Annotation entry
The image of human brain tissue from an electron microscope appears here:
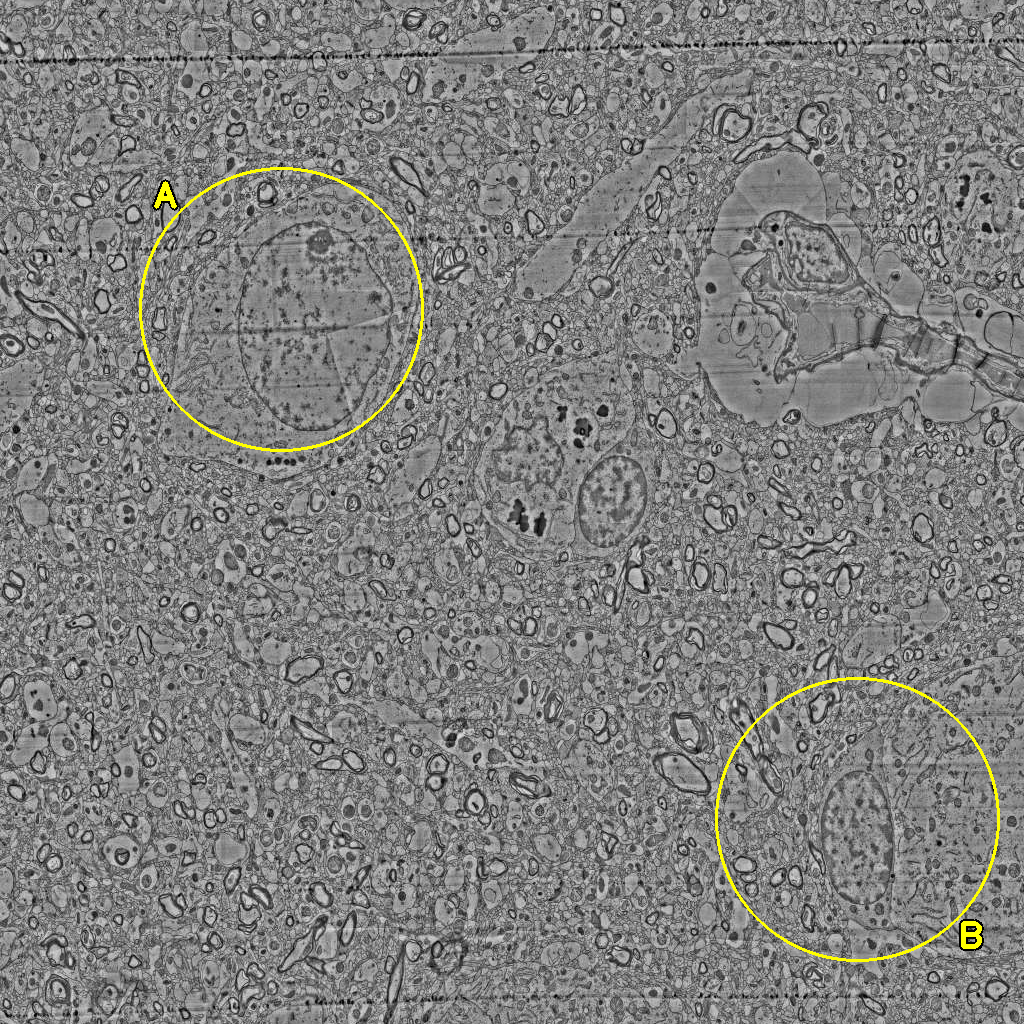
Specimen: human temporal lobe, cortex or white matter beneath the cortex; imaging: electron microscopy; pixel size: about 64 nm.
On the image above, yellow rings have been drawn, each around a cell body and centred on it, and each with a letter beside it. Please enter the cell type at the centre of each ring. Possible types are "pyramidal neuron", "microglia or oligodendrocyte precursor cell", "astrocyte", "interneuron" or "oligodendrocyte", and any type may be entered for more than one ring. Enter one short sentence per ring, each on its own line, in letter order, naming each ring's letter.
The cell that ring A is centred on is a pyramidal neuron.
The cell that ring B is centred on is an oligodendrocyte.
